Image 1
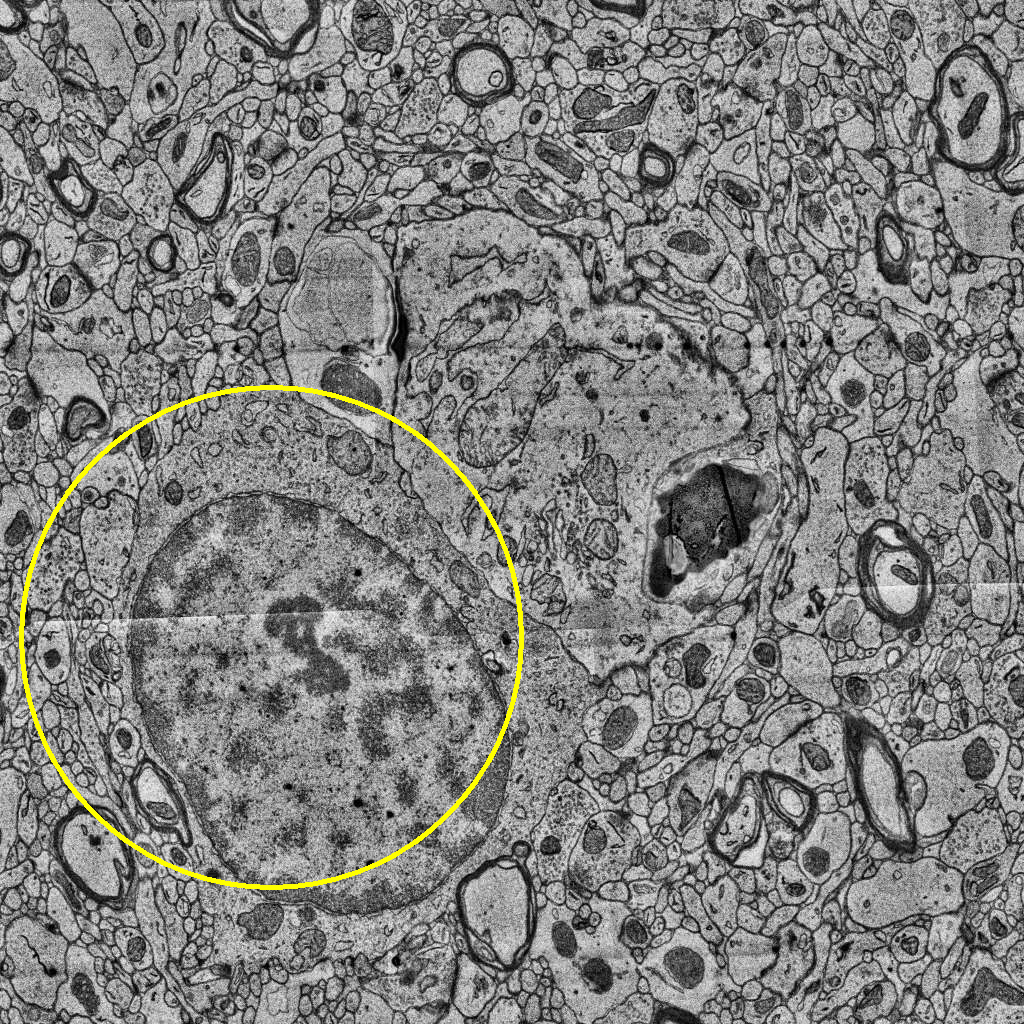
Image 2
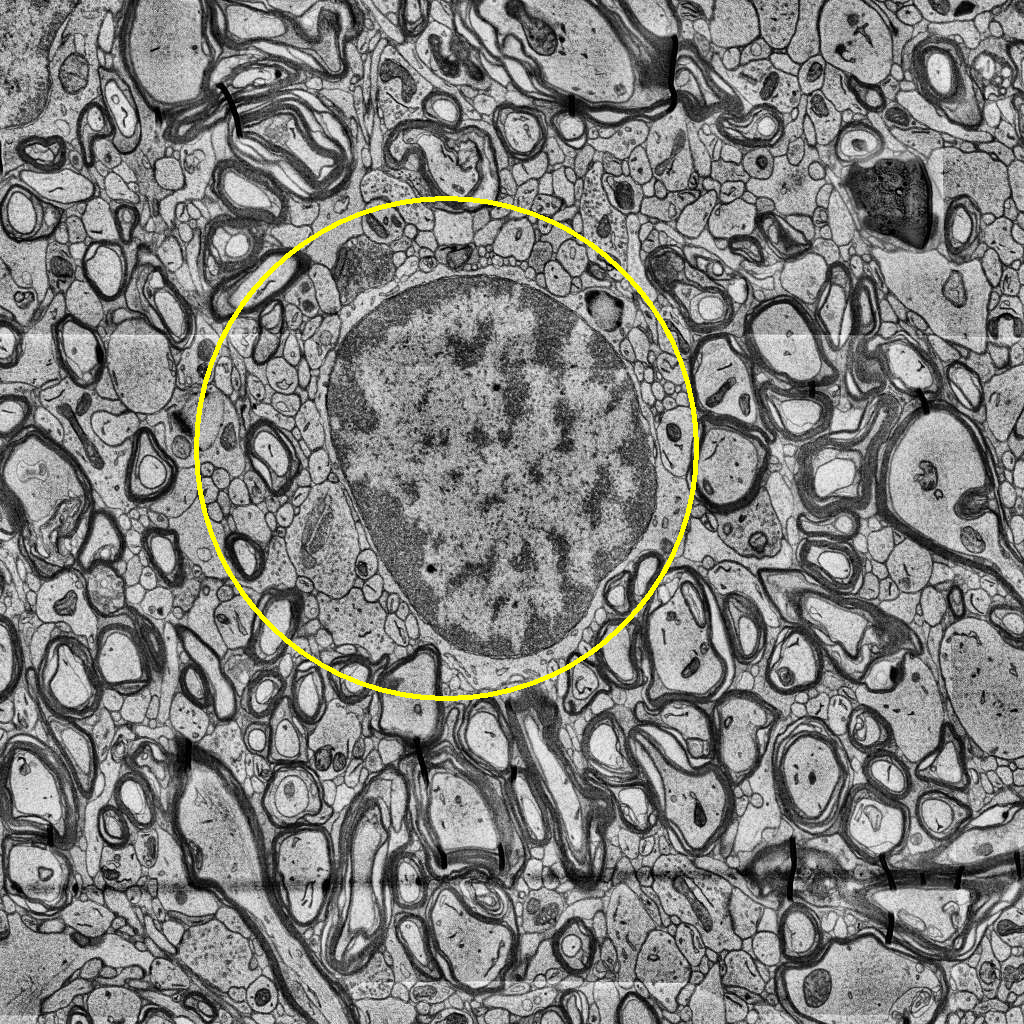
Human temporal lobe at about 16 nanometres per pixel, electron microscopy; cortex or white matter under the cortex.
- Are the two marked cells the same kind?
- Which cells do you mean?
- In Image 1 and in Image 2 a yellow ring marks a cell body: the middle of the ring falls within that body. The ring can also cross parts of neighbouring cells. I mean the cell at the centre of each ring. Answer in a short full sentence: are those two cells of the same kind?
No, the cells are of two kinds.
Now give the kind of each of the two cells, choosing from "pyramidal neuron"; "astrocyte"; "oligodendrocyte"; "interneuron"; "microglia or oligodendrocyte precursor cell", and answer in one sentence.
The first cell is an oligodendrocyte; the second is a microglial cell or oligodendrocyte precursor cell.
